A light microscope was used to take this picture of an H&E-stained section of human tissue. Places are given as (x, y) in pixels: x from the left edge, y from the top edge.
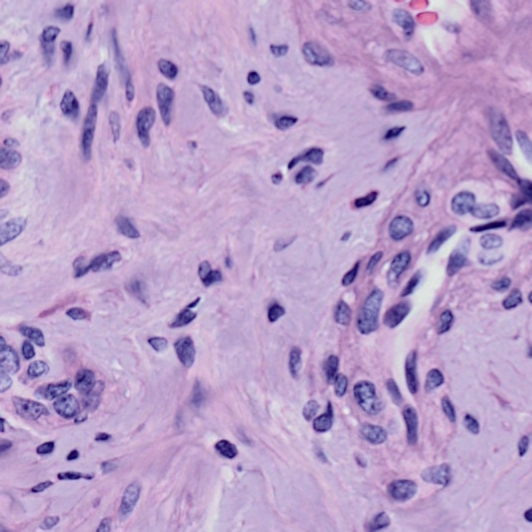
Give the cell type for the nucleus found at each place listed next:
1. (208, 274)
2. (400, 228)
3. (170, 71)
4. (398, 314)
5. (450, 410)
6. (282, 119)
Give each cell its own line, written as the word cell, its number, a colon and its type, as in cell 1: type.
cell 1: fibroblast
cell 2: smooth muscle cell
cell 3: fibroblast
cell 4: endothelial cell
cell 5: smooth muscle cell
cell 6: fibroblast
